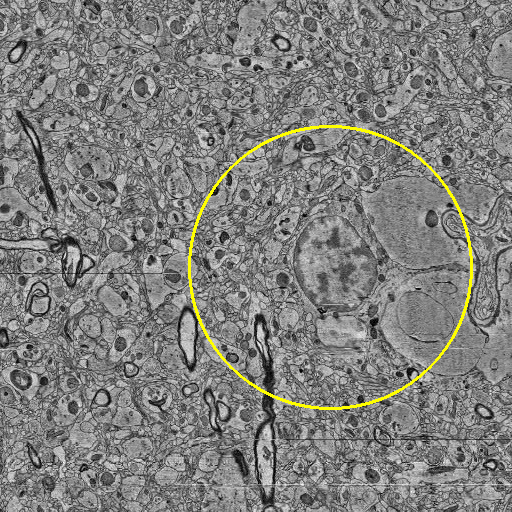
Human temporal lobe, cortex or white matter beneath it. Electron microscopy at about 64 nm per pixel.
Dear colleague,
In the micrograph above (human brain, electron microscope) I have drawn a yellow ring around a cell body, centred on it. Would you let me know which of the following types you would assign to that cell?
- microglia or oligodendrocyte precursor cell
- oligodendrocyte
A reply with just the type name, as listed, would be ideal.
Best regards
oligodendrocyte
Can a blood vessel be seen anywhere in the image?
Yes.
